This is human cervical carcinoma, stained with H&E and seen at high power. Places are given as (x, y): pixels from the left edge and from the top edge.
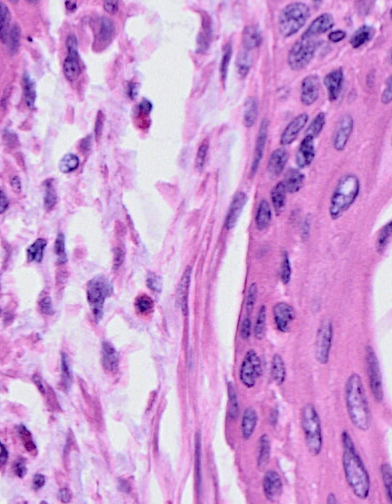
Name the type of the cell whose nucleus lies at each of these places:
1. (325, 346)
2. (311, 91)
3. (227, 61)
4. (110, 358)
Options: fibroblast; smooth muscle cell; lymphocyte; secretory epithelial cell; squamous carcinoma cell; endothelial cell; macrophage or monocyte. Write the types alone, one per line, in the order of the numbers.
squamous carcinoma cell
squamous carcinoma cell
fibroblast
fibroblast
